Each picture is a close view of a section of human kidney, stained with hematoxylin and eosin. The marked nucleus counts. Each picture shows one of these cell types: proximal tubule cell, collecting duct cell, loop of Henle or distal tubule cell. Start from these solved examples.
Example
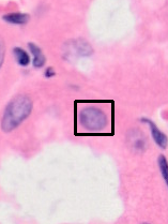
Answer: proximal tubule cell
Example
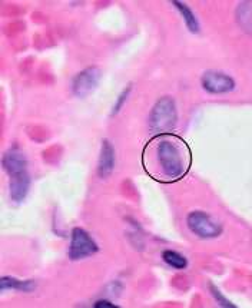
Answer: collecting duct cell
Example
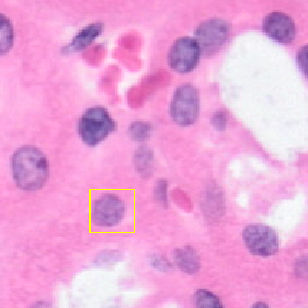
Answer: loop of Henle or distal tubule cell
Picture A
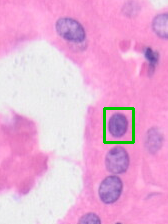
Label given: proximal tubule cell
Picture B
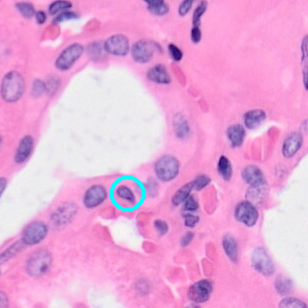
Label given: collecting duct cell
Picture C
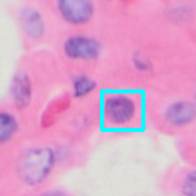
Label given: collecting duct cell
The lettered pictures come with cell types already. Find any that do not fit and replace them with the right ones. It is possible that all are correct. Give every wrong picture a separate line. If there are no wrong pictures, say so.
C: change collecting duct cell to loop of Henle or distal tubule cell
